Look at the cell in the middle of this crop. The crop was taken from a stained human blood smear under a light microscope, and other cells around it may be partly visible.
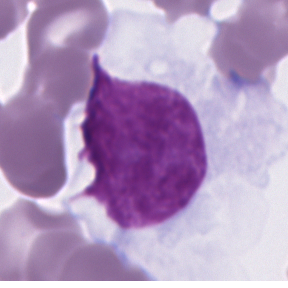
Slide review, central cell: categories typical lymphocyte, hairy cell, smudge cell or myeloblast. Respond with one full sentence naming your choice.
Centred in the crop is a hairy cell.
